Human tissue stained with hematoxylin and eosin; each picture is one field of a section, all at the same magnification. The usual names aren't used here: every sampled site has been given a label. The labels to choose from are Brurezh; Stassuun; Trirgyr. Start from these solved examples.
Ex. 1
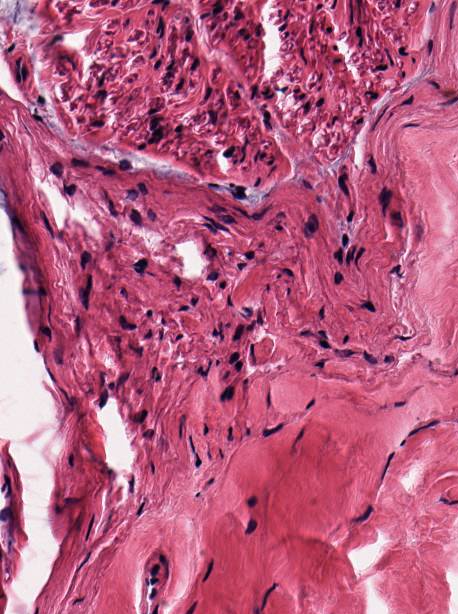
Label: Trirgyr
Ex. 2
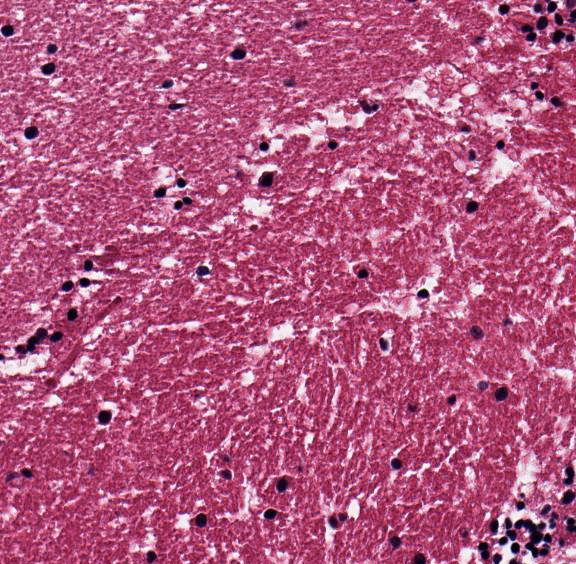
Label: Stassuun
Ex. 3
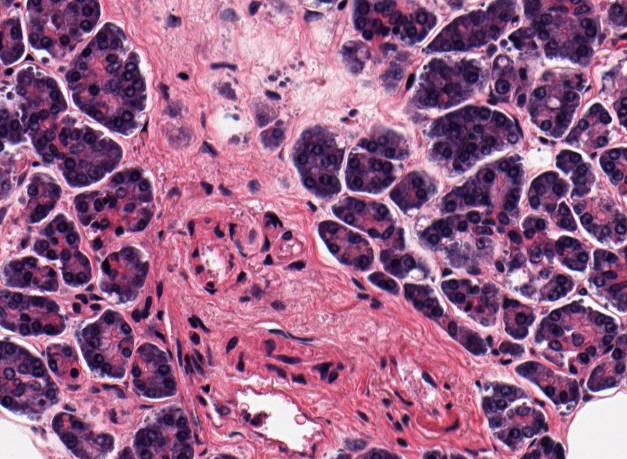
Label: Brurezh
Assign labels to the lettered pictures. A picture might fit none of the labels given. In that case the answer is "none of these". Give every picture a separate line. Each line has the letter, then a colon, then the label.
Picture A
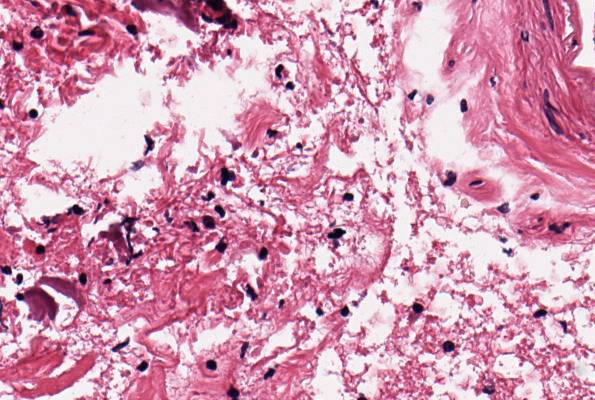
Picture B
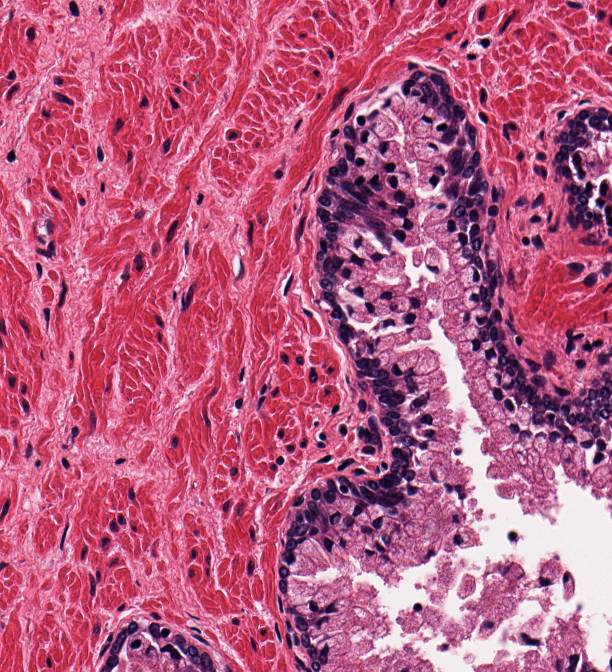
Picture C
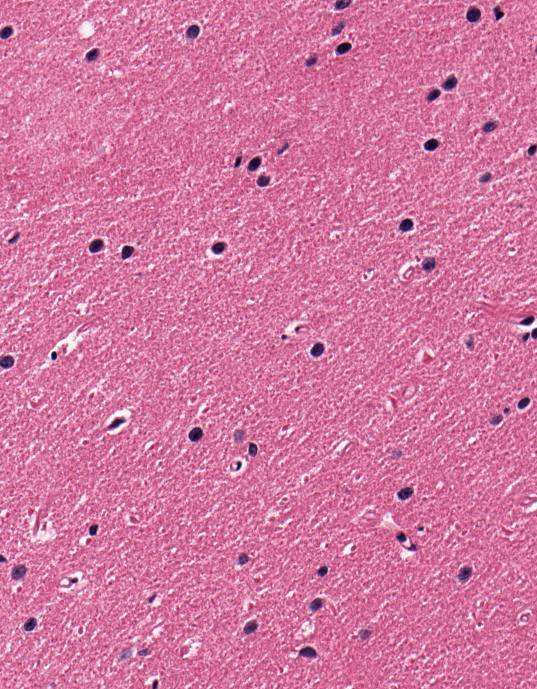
A: Stassuun
B: none of these
C: Stassuun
